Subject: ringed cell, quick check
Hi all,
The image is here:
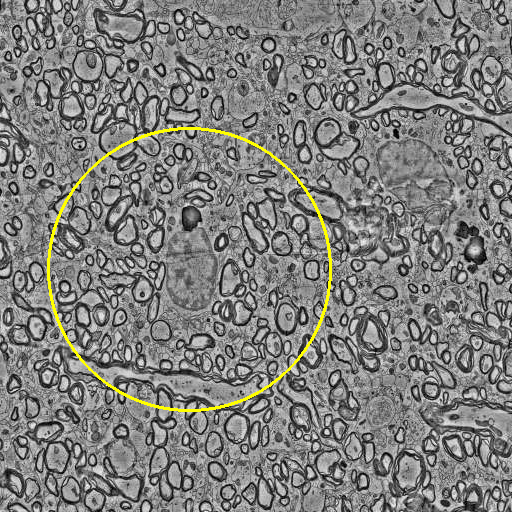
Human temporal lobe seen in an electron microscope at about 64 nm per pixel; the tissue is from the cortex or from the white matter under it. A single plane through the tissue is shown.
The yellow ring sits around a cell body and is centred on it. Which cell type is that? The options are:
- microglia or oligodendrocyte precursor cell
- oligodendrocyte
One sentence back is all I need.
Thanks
That ringed cell is an oligodendrocyte.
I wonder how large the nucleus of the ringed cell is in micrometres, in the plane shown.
Approximately 5 micrometres long and 3 micrometres wide, in this plane.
